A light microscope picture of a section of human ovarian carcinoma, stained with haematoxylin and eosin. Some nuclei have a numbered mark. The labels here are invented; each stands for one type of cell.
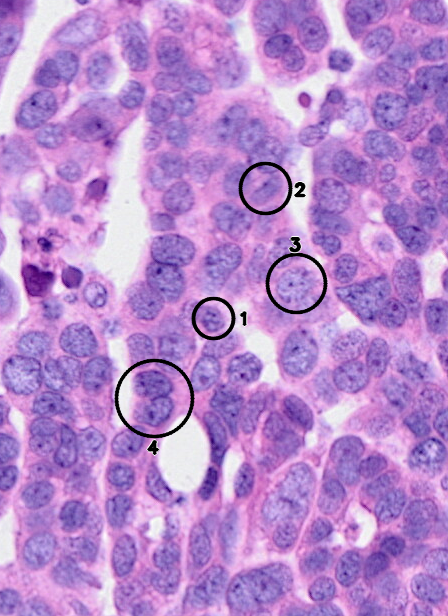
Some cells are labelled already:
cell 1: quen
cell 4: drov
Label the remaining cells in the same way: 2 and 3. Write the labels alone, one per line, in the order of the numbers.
drov
drov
